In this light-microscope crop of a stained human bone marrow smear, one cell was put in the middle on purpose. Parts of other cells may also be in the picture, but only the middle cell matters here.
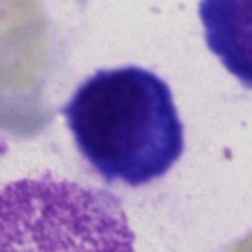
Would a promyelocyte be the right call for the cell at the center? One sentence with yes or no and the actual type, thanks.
No, the central cell is classed as a plasma cell and not as a promyelocyte.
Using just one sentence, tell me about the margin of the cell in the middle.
An uneven margin is present, with either ragged stretches or outward projections.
